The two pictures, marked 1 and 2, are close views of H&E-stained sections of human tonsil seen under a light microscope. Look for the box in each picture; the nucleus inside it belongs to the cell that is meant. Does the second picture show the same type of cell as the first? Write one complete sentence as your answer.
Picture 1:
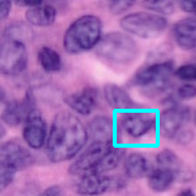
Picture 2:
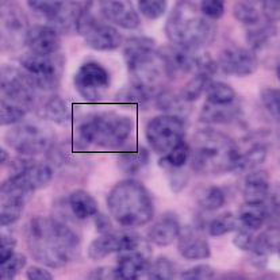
Yes, both are proliferating B cells.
